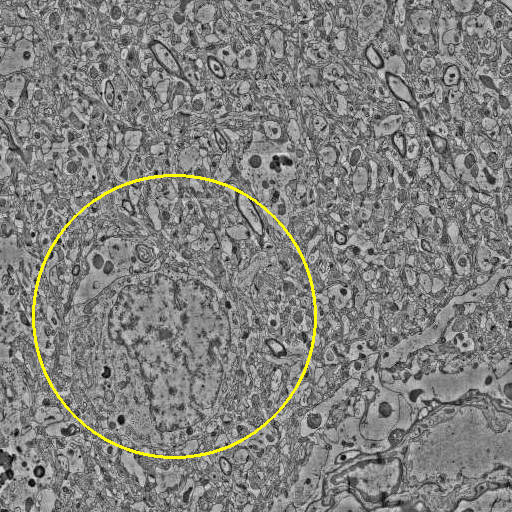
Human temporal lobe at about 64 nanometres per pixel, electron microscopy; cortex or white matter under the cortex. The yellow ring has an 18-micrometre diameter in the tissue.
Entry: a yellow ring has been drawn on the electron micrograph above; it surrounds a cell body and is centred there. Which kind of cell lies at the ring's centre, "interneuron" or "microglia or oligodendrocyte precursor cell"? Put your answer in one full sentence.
The cell sitting at the ring's centre is an interneuron in the micrograph above.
